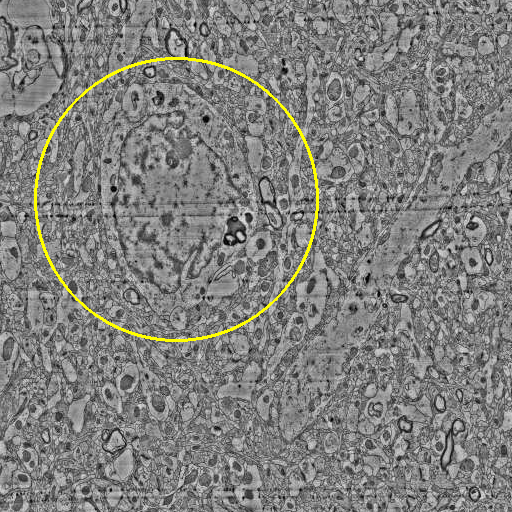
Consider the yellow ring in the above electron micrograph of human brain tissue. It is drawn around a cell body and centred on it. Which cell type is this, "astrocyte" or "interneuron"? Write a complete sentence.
The cell in question is an interneuron.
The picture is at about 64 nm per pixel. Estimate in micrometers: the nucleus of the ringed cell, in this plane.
The nucleus works out at approximately 12 by 8 micrometres in this plane.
